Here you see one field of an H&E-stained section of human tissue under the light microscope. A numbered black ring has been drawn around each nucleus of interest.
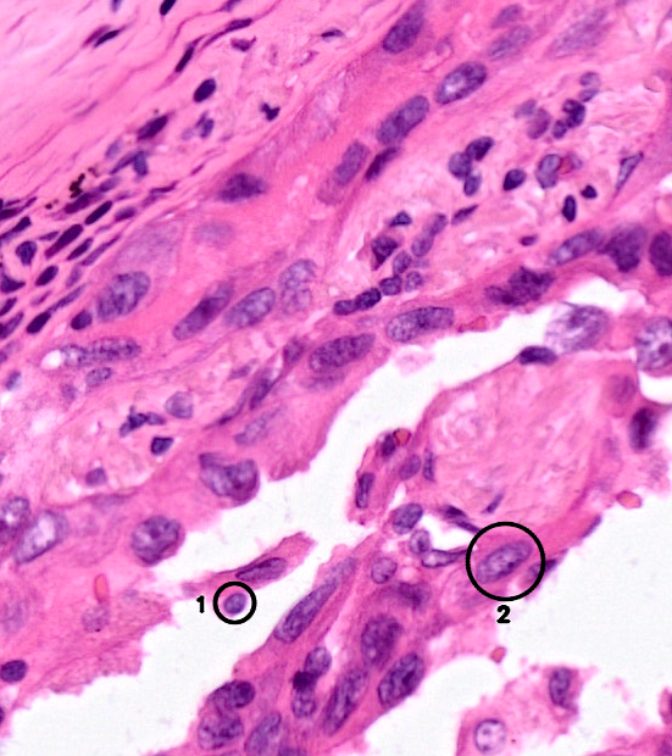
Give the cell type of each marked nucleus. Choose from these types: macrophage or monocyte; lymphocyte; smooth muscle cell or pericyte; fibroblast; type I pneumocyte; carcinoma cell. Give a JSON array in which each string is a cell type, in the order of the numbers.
["lymphocyte", "carcinoma cell"]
